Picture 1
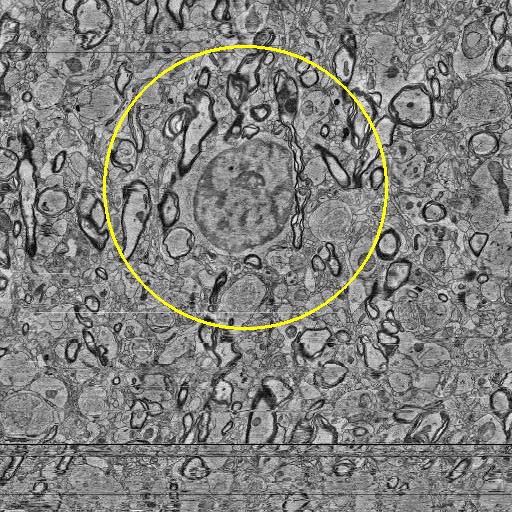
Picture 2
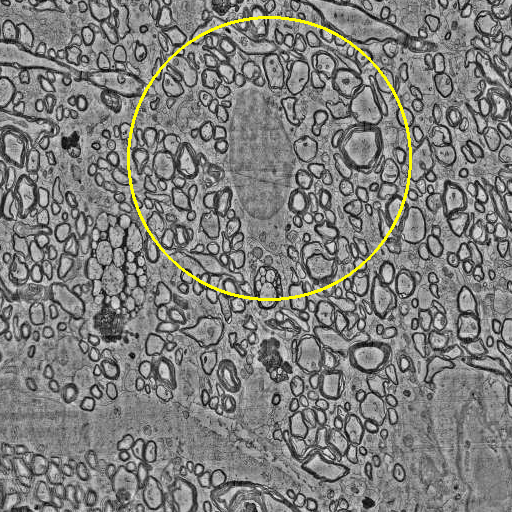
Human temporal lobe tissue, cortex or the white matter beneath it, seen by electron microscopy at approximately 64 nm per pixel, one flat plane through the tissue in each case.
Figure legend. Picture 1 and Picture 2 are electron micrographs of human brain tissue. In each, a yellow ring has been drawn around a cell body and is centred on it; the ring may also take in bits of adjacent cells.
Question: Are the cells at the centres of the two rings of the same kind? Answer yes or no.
yes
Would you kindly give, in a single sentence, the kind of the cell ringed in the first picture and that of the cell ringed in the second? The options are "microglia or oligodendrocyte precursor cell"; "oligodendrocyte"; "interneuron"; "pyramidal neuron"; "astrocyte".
Each of the ringed cells, first and second, is an oligodendrocyte.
